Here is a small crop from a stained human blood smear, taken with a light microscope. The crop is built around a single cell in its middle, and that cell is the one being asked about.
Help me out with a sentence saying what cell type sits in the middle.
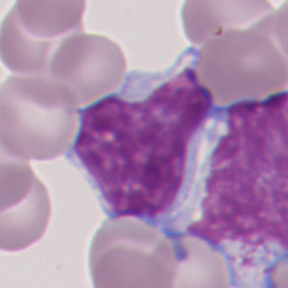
The target cell in the middle of the crop is a typical lymphocyte.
